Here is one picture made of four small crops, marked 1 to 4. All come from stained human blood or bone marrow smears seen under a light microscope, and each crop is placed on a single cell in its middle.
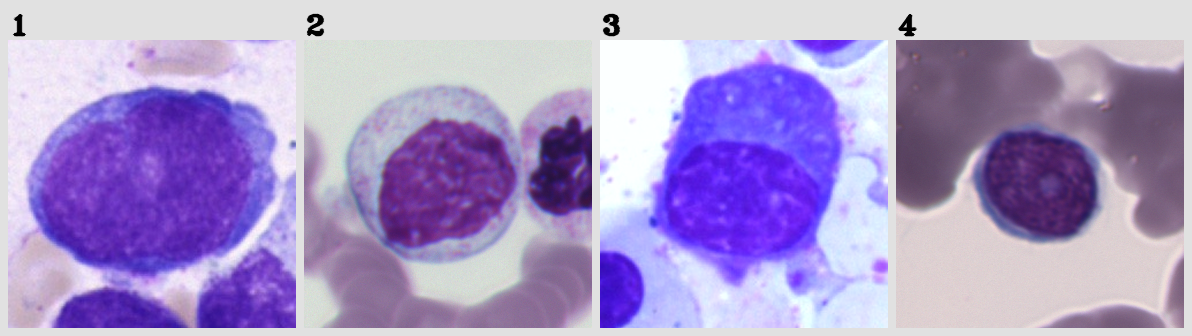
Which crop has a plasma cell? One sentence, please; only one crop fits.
Of the cells presented, the one in crop 3 is a plasma cell.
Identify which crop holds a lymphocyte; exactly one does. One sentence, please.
The crop carrying a lymphocyte at the center is crop 4.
